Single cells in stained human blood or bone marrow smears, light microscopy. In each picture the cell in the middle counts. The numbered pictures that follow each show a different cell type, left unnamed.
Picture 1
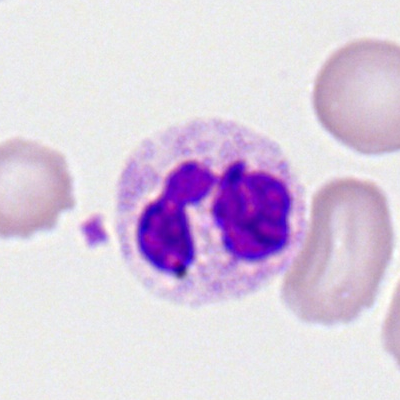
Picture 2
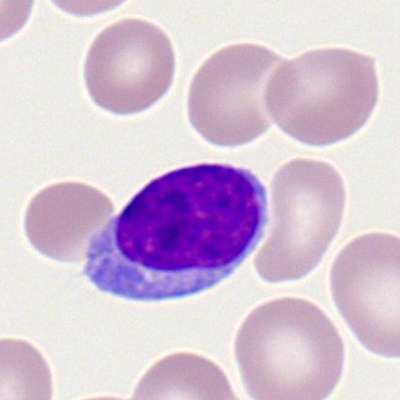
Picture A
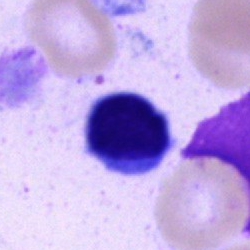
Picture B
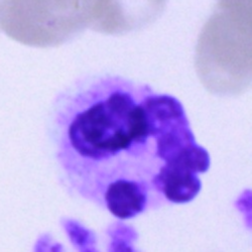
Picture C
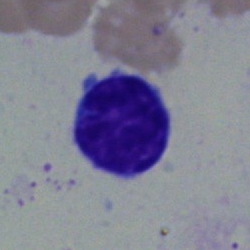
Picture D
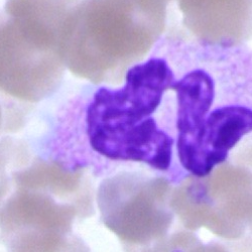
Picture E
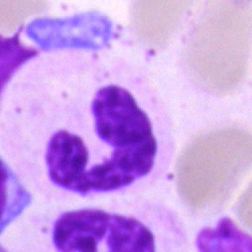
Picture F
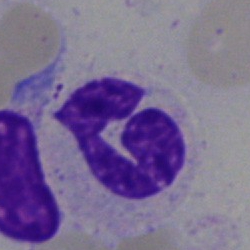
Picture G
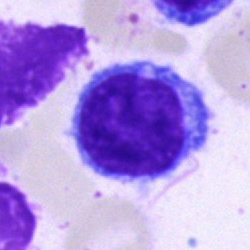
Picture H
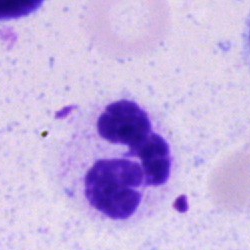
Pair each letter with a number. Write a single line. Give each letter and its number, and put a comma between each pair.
A 2, B 1, C 2, D 1, E 1, F 1, G 2, H 1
